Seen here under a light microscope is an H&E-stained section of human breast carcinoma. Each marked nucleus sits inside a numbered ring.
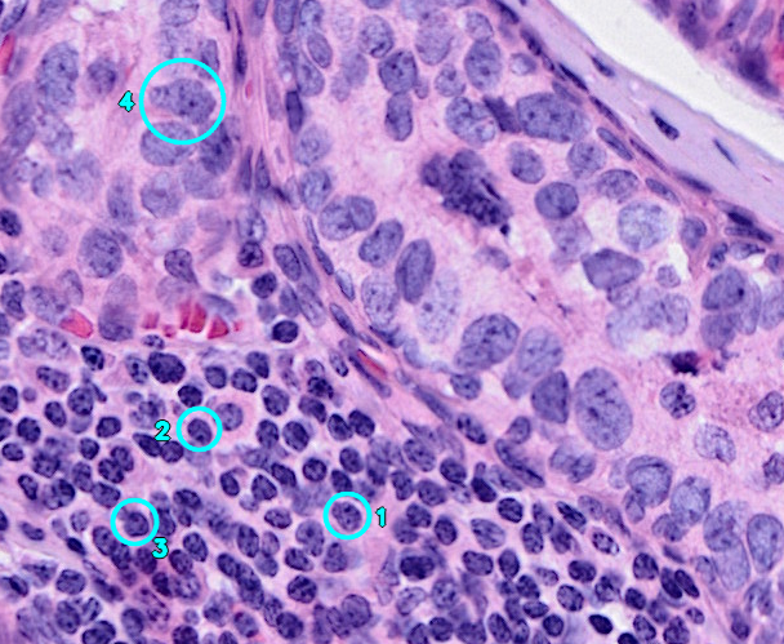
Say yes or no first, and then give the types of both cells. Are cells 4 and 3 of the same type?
No, the cell marked 4 is a carcinoma cell, and the cell marked 3 is a lymphocyte.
